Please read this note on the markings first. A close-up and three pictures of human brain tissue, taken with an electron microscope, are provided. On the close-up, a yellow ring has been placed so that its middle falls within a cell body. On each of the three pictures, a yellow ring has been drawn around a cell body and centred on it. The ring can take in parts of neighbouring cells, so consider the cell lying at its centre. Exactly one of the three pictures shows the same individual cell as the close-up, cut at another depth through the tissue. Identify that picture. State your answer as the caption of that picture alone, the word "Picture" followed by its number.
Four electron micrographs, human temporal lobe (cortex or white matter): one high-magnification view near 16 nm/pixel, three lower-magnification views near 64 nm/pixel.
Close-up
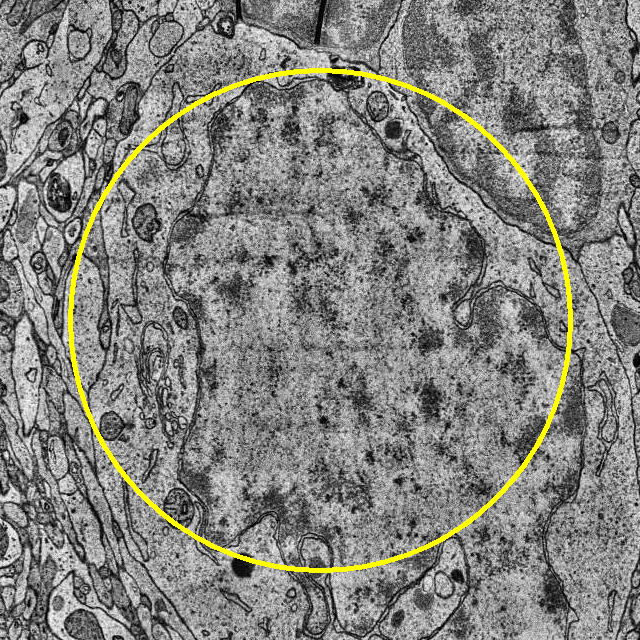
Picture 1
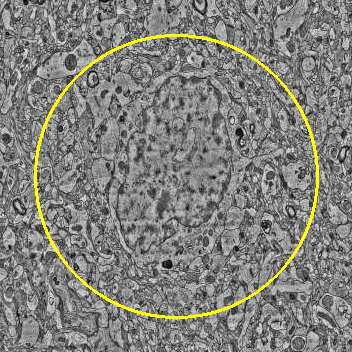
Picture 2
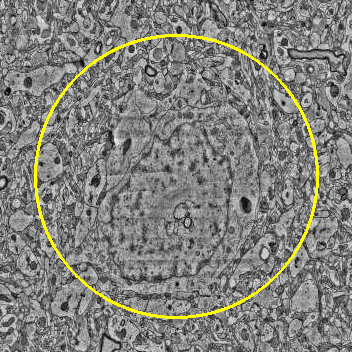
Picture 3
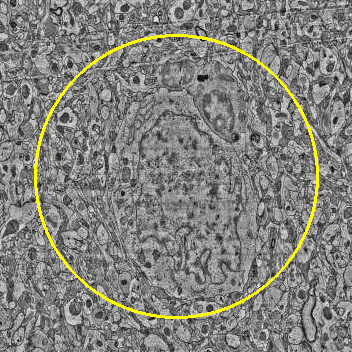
Picture 3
